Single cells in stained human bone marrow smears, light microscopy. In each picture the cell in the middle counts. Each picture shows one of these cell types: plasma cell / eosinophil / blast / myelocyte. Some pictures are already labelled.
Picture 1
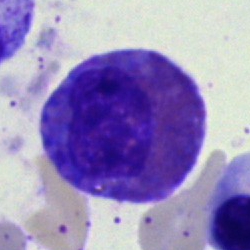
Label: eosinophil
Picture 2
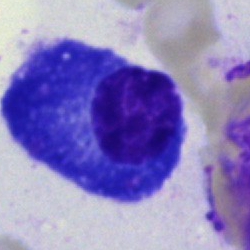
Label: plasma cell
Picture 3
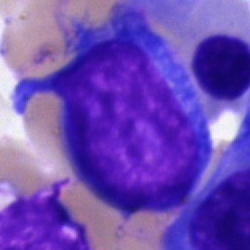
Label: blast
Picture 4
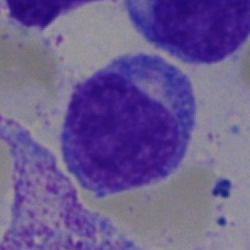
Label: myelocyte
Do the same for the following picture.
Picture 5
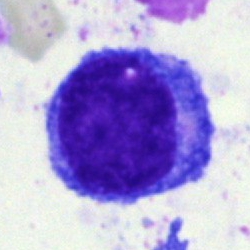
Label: blast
